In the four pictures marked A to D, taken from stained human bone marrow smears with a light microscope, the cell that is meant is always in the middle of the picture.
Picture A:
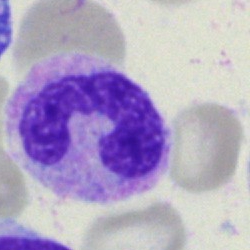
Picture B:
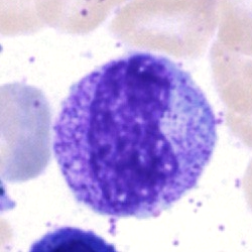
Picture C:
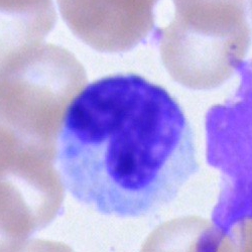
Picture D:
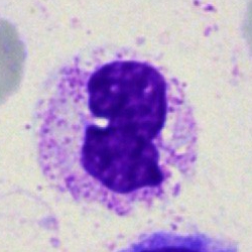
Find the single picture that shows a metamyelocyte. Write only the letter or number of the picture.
B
